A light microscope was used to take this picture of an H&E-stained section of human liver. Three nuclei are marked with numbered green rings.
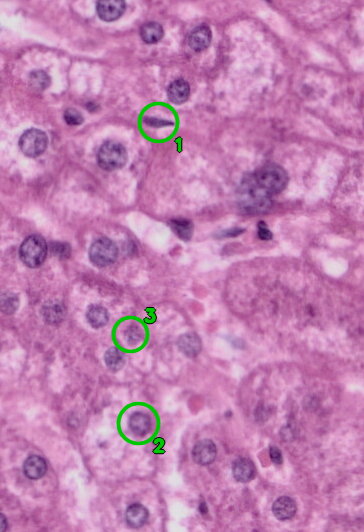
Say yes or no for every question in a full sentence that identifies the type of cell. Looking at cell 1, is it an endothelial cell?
Yes, in this section the cell numbered 1 is an endothelial cell.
